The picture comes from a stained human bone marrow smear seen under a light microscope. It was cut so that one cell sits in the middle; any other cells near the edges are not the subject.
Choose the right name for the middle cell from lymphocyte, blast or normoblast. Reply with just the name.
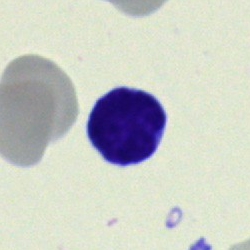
lymphocyte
